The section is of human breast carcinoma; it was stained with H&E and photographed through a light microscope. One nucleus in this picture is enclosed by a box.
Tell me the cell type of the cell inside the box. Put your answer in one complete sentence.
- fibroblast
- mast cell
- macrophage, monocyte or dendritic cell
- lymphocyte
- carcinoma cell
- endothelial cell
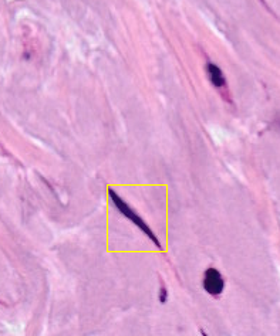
Microscopically, the cell inside the box is categorized as a fibroblast.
